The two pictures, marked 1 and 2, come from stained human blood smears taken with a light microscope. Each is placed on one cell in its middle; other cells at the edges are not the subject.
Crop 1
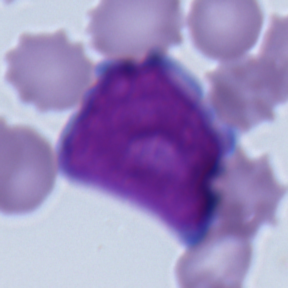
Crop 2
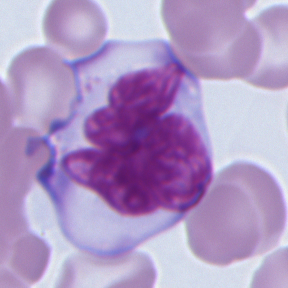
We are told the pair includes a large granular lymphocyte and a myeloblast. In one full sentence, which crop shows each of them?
Crop 1 is to be labelled a myeloblast, and crop 2 a large granular lymphocyte.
